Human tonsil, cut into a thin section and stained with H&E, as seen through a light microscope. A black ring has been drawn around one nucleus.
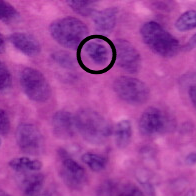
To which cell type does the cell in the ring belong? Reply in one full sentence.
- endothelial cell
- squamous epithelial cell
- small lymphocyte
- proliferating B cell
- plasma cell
The cell meant here is a squamous epithelial cell.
